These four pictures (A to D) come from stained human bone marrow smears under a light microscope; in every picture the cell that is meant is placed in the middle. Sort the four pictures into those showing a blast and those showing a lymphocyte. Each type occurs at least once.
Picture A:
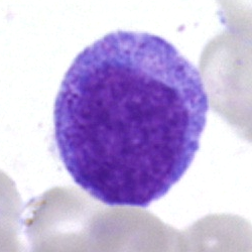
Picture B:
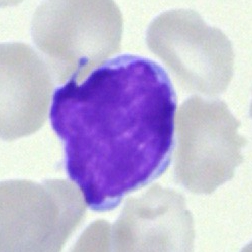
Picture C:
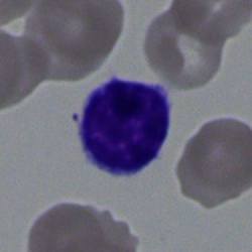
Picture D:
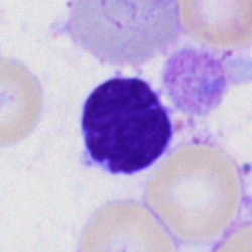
A: blast
B: lymphocyte
C: lymphocyte
D: lymphocyte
